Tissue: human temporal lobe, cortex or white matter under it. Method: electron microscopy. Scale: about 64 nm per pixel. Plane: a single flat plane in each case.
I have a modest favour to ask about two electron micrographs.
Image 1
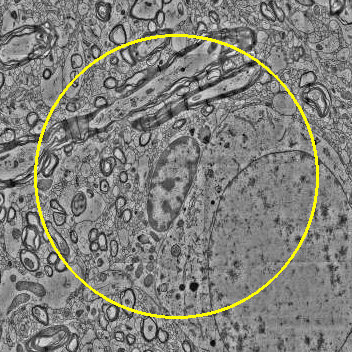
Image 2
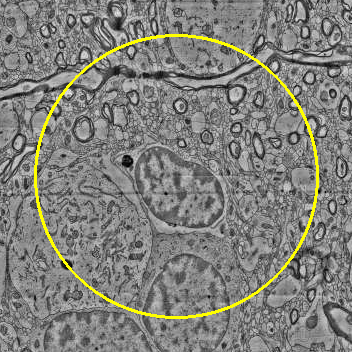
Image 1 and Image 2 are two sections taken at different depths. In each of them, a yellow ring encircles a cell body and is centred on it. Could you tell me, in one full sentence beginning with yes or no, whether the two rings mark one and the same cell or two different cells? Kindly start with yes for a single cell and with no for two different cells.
No, one ring and the other ring mark two distinct cells.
